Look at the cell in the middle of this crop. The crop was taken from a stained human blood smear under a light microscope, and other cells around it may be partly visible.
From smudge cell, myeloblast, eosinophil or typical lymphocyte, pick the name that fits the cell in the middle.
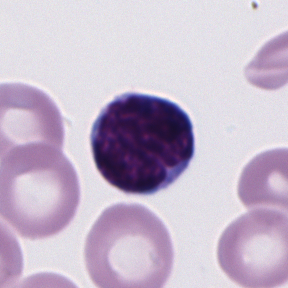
typical lymphocyte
